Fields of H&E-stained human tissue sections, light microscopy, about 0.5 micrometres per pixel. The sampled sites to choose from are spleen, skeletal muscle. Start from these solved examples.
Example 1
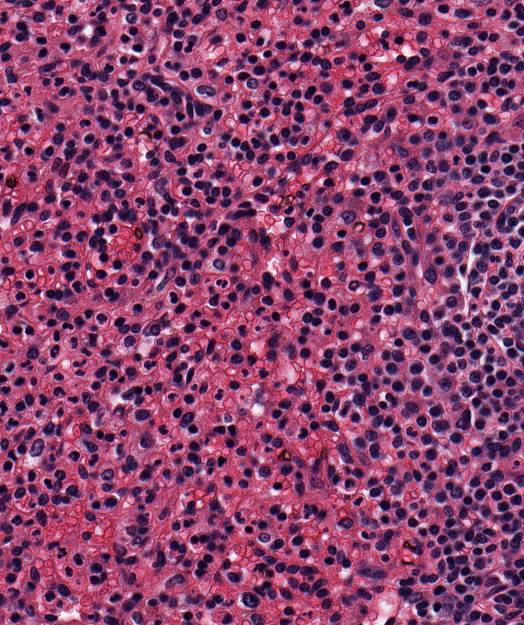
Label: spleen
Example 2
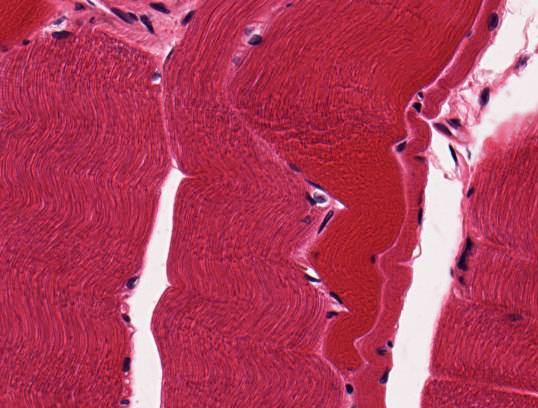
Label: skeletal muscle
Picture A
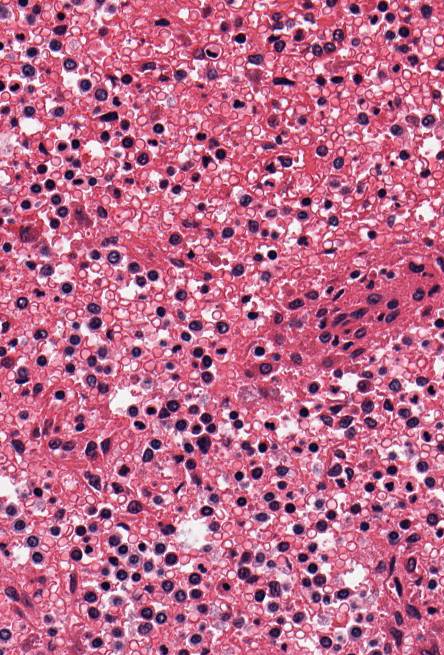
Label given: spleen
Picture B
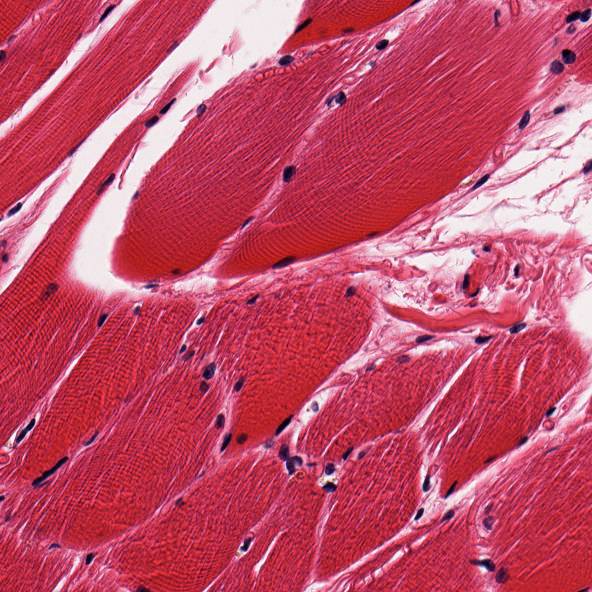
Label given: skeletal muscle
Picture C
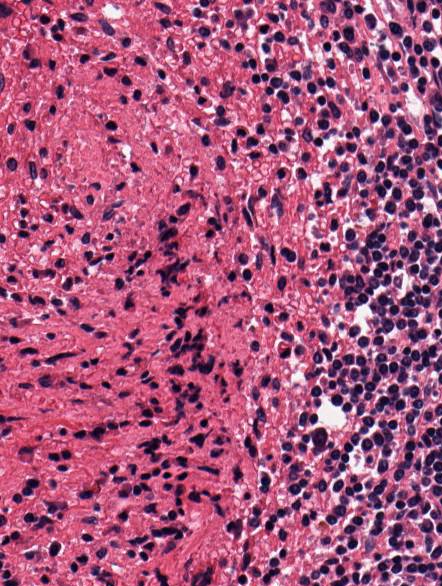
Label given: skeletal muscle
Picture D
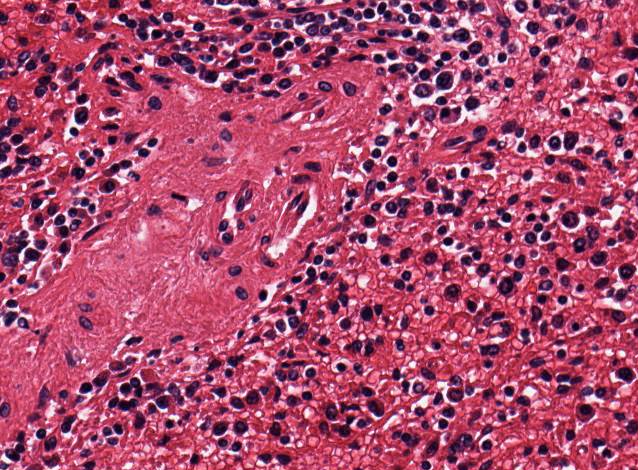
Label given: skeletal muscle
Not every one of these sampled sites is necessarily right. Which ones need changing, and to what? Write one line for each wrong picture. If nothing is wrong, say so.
Wrong: C (skeletal muscle); correct: spleen
Wrong: D (skeletal muscle); correct: spleen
